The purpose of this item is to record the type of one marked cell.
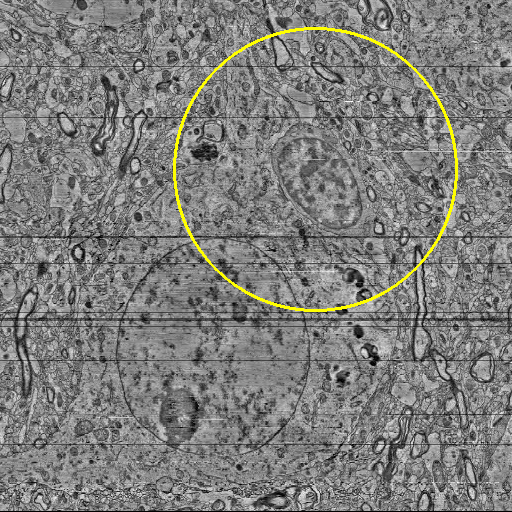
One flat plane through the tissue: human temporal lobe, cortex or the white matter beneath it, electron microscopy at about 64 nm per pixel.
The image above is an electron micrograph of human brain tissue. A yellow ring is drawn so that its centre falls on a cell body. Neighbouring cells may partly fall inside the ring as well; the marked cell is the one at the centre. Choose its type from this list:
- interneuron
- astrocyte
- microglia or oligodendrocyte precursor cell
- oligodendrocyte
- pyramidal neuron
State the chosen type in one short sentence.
What the ring marks here is an oligodendrocyte.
